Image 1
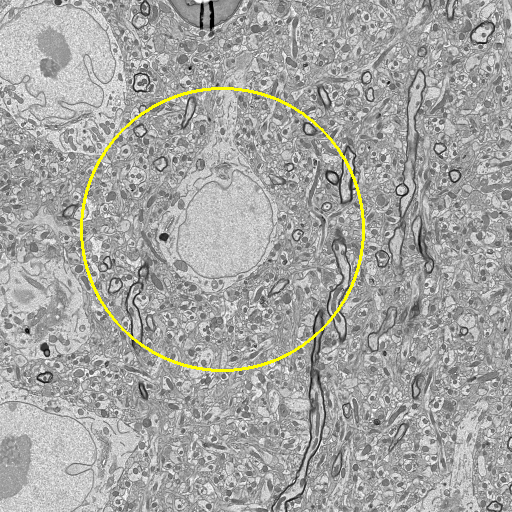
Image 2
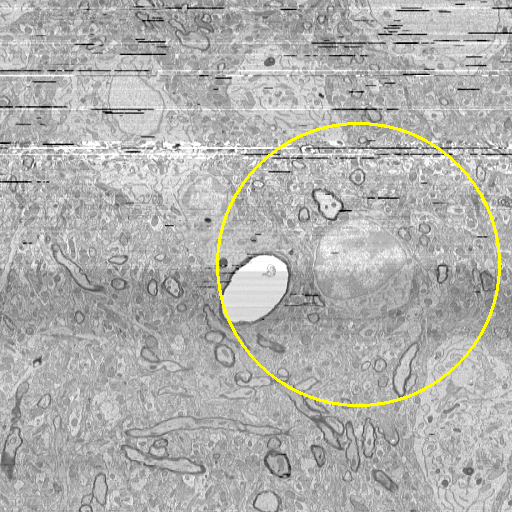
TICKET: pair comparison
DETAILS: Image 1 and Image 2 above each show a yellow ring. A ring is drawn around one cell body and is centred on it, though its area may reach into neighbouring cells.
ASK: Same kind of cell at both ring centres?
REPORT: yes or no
no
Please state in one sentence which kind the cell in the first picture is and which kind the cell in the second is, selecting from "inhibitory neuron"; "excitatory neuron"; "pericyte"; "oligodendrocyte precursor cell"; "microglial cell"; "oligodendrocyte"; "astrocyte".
The first ringed cell is an excitatory neuron, the second ringed cell an oligodendrocyte.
